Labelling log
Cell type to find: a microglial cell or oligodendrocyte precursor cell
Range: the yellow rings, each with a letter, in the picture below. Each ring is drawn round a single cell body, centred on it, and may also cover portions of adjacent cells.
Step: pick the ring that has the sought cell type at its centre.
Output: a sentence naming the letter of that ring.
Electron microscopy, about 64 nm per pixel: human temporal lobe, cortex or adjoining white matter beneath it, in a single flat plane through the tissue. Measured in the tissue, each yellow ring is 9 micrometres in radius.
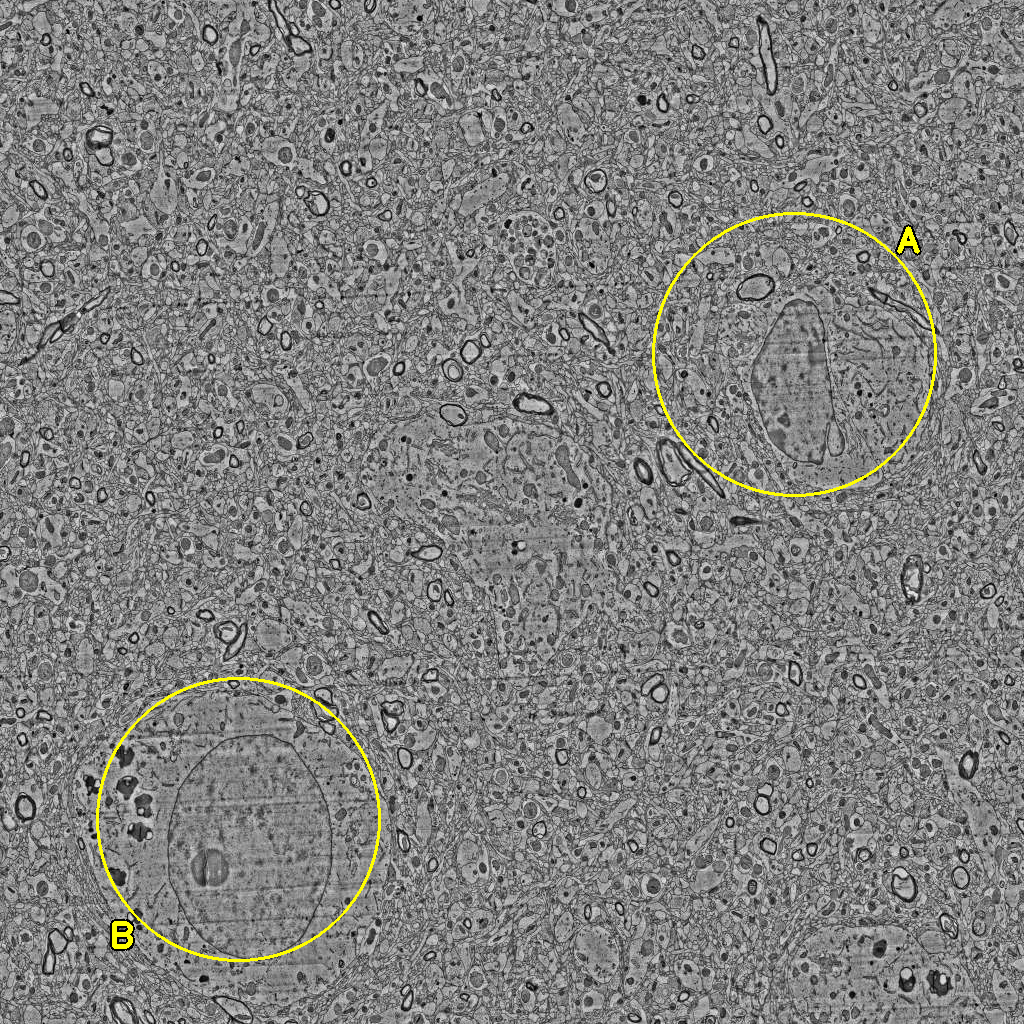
Ring A is the one with the cell asked for at its centre.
